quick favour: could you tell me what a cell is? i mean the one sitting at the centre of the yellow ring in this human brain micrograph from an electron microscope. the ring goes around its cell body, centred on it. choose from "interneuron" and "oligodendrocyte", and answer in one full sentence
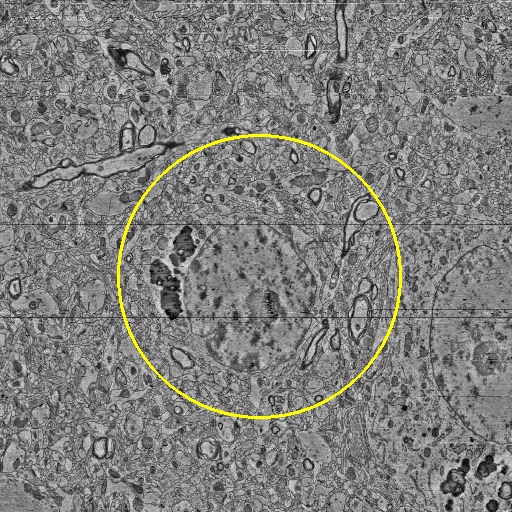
That's an interneuron, the cell sitting at the centre of the yellow ring.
